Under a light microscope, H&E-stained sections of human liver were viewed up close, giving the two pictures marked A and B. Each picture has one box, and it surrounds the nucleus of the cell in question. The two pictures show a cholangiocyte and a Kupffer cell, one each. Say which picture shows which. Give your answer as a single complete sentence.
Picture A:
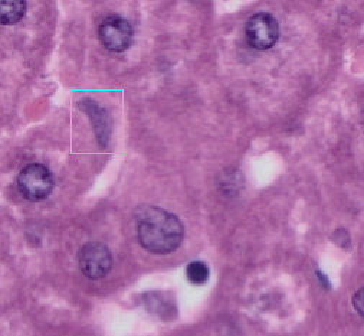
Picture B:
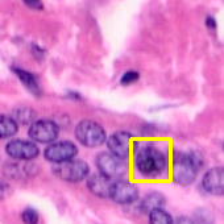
It is picture A that shows a Kupffer cell, and picture B that shows a cholangiocyte.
